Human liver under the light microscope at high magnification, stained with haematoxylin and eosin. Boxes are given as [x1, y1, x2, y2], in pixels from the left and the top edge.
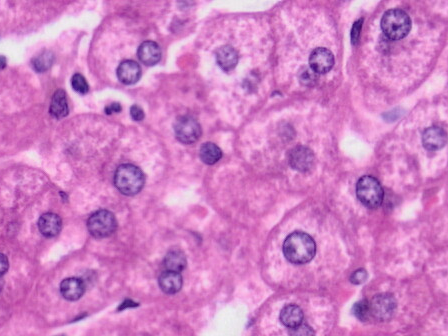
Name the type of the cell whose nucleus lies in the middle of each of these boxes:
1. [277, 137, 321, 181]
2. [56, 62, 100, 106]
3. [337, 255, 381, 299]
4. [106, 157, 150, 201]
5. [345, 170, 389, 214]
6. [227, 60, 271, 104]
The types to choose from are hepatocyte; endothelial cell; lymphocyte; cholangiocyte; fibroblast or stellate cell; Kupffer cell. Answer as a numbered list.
1. hepatocyte
2. lymphocyte
3. Kupffer cell
4. hepatocyte
5. hepatocyte
6. hepatocyte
